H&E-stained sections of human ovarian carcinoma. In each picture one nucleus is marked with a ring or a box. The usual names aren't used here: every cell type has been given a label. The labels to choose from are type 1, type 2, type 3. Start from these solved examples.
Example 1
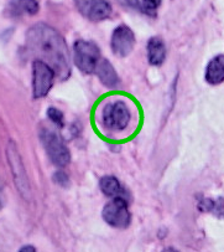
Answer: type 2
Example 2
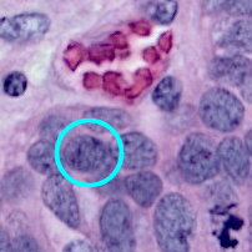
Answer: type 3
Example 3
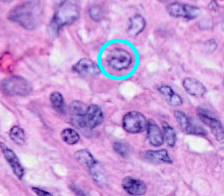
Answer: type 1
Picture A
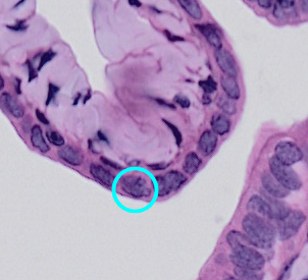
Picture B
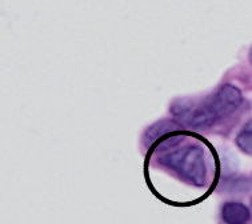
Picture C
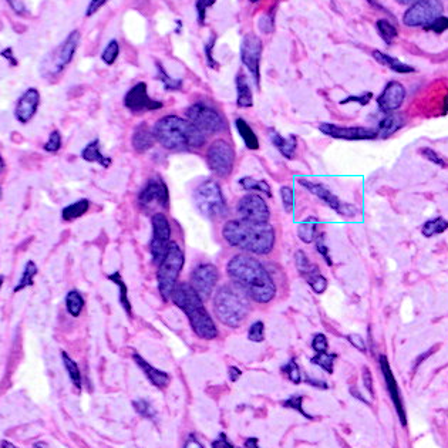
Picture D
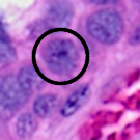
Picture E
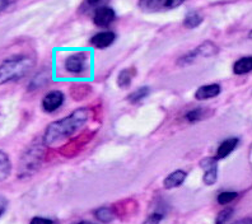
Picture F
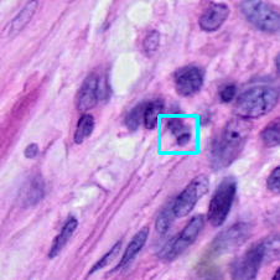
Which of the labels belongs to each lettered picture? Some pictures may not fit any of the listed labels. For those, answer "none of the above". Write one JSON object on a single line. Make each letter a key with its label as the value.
{"A": "type 3", "B": "type 3", "C": "type 1", "D": "type 3", "E": "type 2", "F": "none of the above"}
